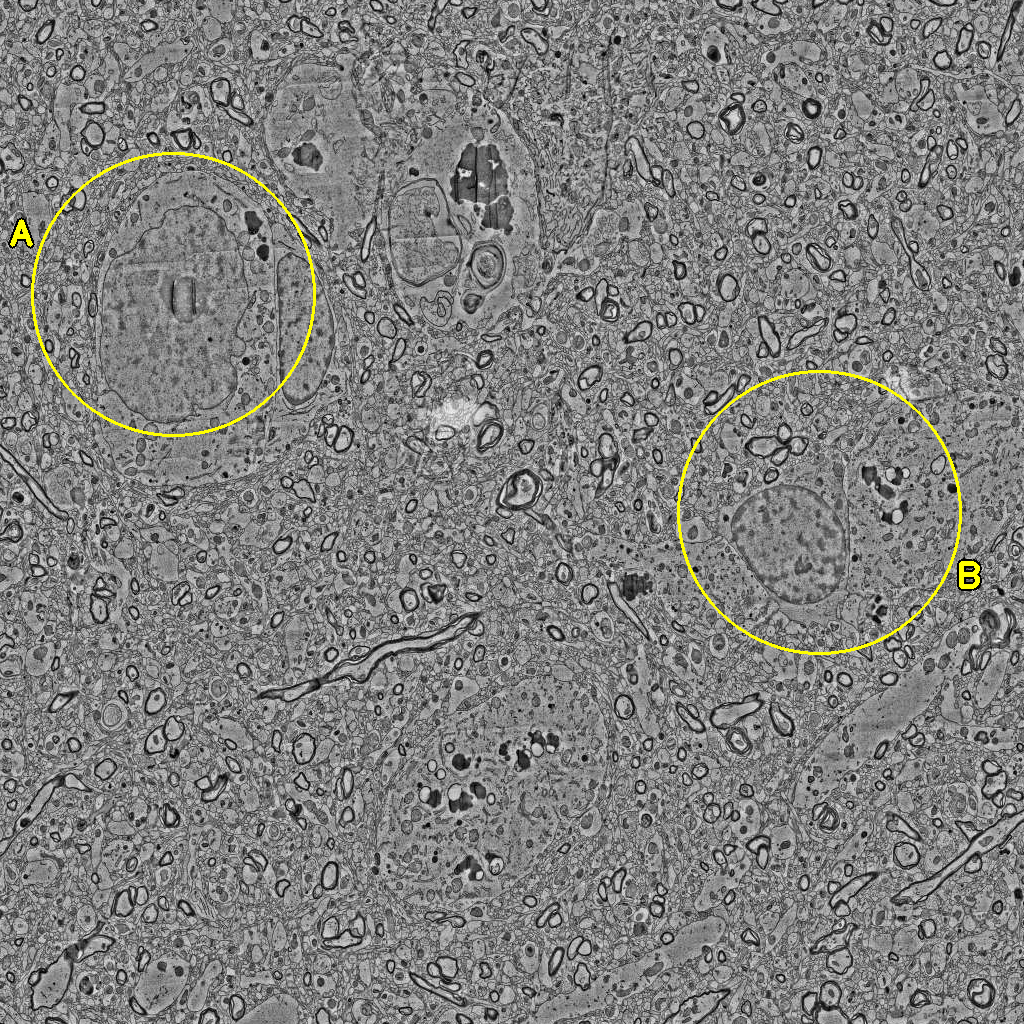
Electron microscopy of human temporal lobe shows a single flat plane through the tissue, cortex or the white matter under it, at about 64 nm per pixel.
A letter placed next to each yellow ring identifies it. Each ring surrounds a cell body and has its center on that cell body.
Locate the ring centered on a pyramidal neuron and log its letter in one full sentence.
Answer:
Ring A has at its center the cell that the task asks for.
